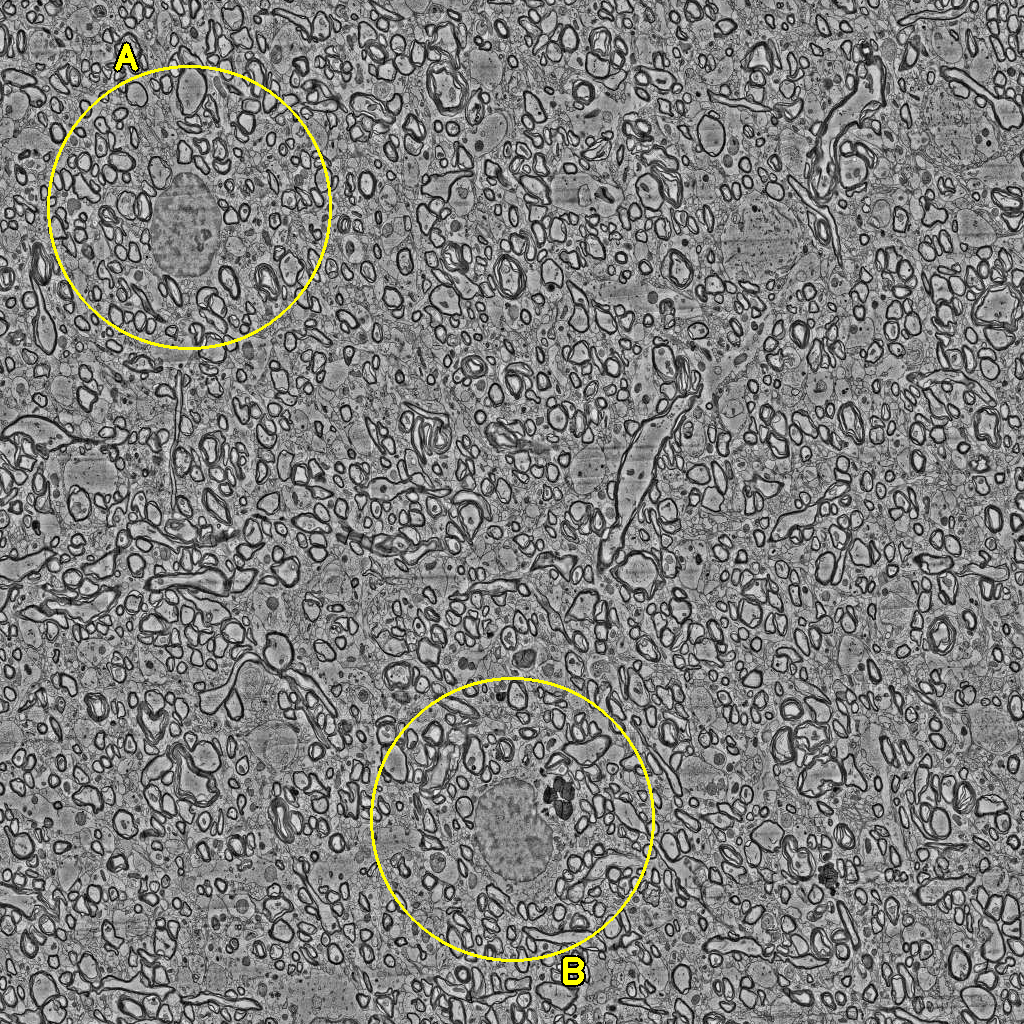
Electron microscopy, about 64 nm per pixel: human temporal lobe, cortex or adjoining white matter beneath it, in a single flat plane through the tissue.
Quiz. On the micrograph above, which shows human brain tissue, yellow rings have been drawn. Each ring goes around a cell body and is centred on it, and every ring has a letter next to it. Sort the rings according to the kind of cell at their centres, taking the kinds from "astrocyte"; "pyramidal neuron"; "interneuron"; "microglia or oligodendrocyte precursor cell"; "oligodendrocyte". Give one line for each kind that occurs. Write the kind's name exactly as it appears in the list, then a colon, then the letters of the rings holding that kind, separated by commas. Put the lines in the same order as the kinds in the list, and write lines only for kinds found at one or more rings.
oligodendrocyte: A, B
